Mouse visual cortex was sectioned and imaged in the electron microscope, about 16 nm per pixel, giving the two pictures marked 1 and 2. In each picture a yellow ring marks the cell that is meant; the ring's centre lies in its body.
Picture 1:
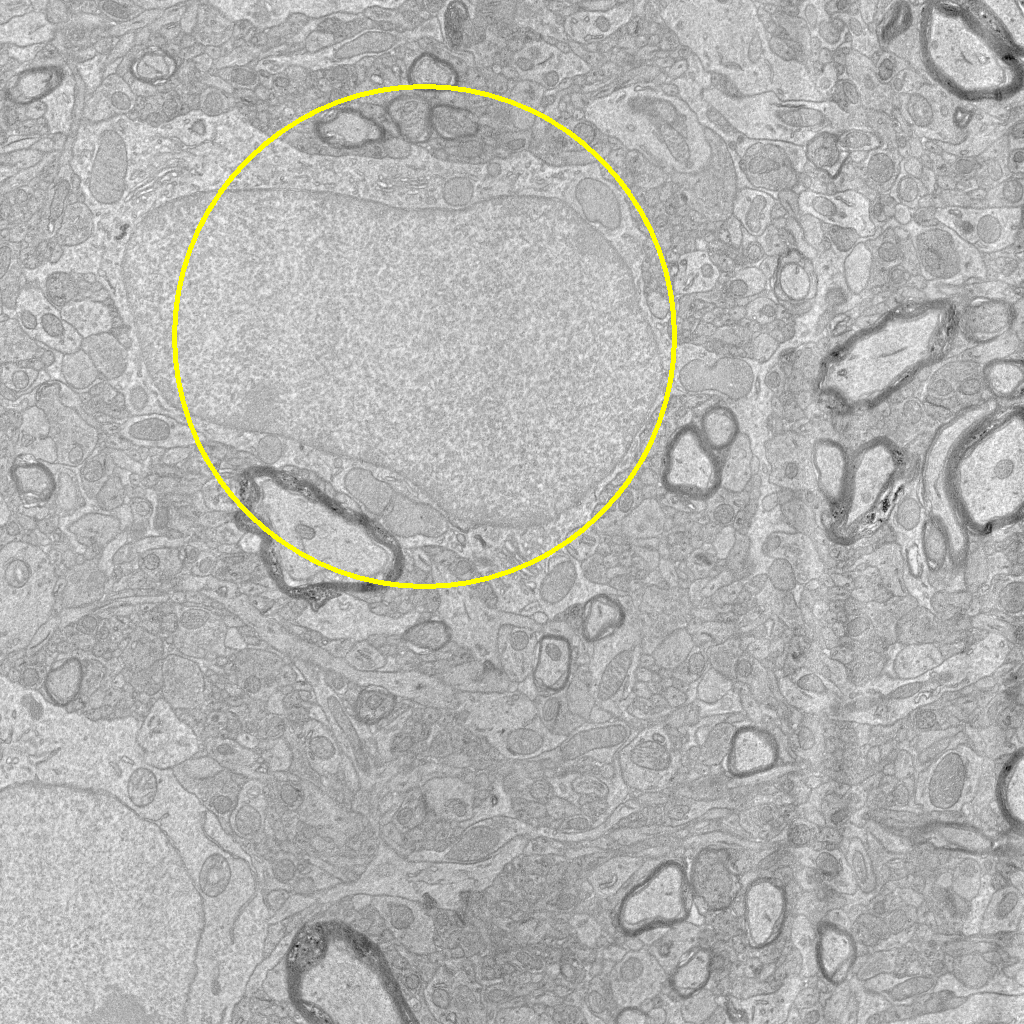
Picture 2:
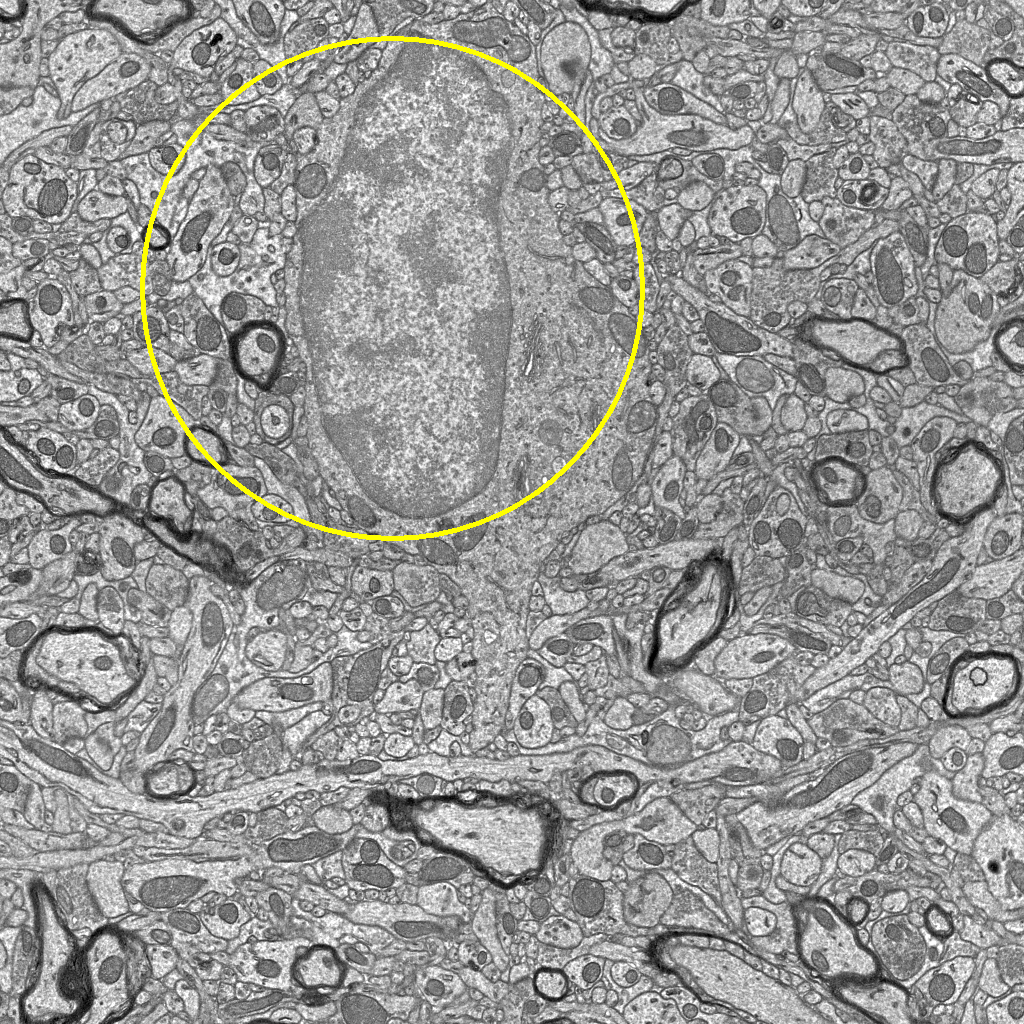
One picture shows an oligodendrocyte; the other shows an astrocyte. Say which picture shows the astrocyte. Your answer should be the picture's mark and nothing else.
1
